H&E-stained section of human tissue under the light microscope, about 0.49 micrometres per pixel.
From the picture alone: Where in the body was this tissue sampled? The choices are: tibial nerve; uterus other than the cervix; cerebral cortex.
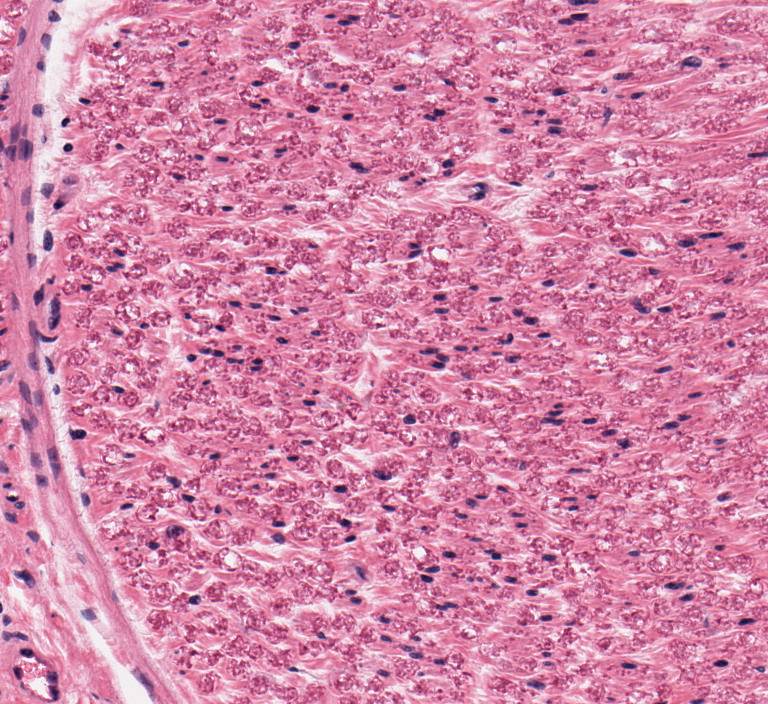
tibial nerve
